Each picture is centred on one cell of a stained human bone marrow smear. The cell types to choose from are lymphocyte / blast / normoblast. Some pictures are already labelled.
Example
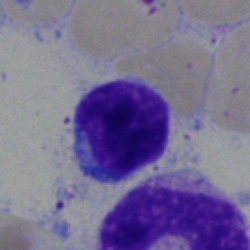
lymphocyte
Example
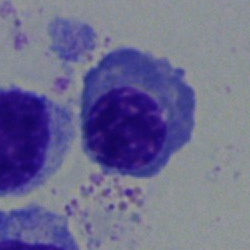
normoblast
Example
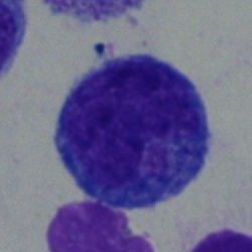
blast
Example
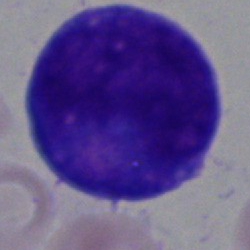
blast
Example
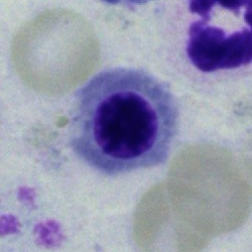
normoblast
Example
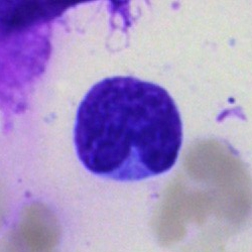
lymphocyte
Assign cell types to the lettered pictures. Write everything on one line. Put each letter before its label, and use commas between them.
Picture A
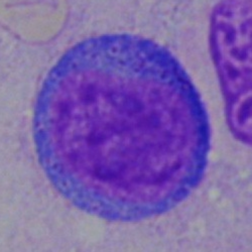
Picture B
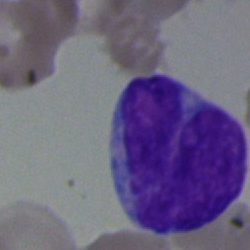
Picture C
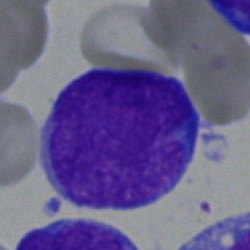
A blast, B blast, C blast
